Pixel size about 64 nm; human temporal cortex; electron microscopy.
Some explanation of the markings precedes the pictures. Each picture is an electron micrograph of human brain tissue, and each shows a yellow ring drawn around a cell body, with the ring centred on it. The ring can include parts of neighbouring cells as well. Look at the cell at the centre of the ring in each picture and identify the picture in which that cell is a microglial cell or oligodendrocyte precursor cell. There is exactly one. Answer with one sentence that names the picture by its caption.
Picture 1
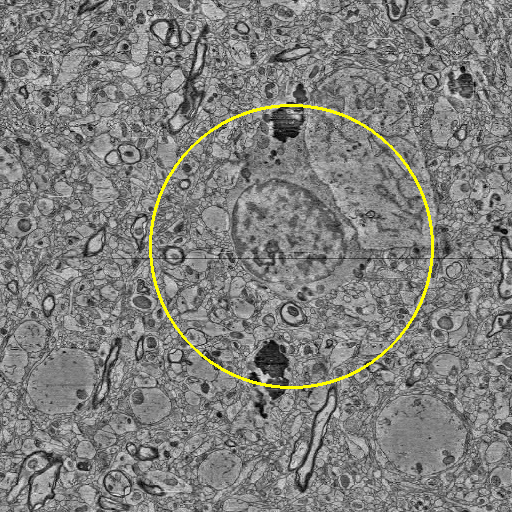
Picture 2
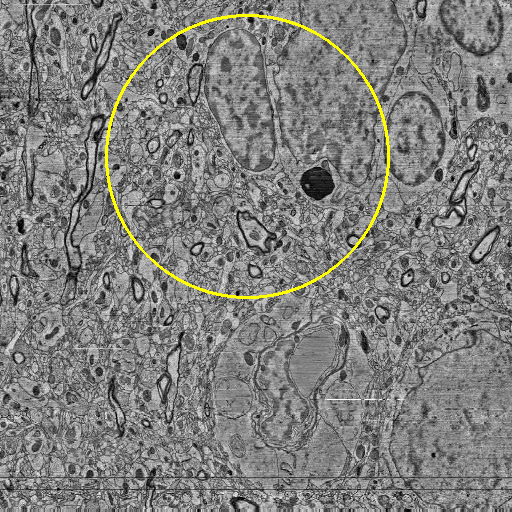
In Picture 2, the cell at the centre of the ring is of that kind.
